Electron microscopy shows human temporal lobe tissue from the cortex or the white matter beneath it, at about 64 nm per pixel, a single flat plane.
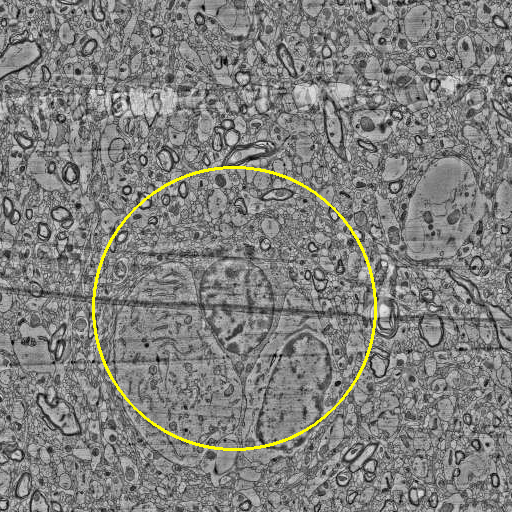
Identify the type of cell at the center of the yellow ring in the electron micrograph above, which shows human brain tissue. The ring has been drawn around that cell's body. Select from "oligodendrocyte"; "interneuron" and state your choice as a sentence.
The yellow ring is centered on the body of an oligodendrocyte.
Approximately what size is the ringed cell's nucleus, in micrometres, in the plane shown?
In this plane, about 6 micrometres in length and 5 in width.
